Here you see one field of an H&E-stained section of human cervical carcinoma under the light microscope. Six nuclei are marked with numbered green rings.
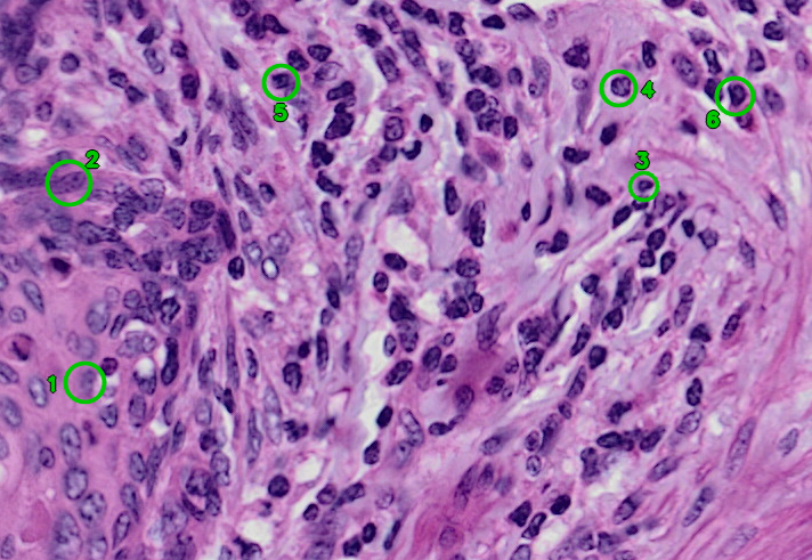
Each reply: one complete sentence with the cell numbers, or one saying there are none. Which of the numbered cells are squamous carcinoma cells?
By cell type, the cells numbered 1 and 2 are squamous carcinoma cells.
